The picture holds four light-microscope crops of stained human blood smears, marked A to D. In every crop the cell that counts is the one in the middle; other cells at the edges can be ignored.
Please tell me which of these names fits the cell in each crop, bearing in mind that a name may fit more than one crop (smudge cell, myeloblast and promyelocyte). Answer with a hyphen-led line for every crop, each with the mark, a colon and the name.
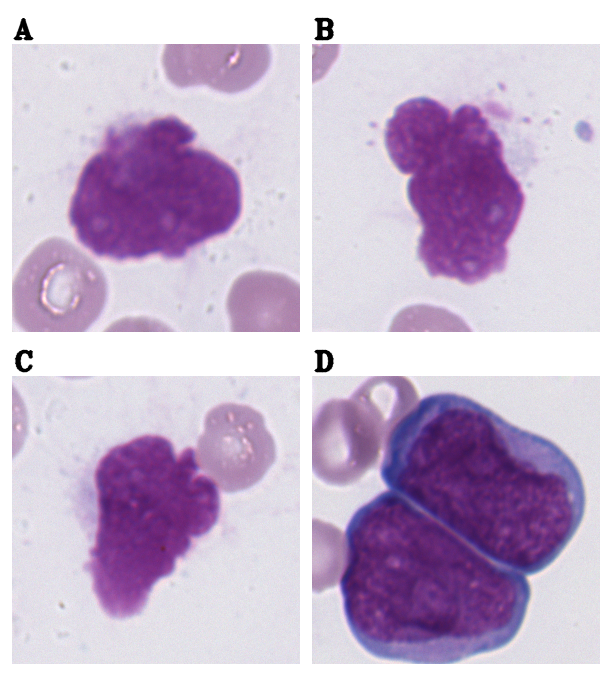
- A: smudge cell
- B: smudge cell
- C: smudge cell
- D: myeloblast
